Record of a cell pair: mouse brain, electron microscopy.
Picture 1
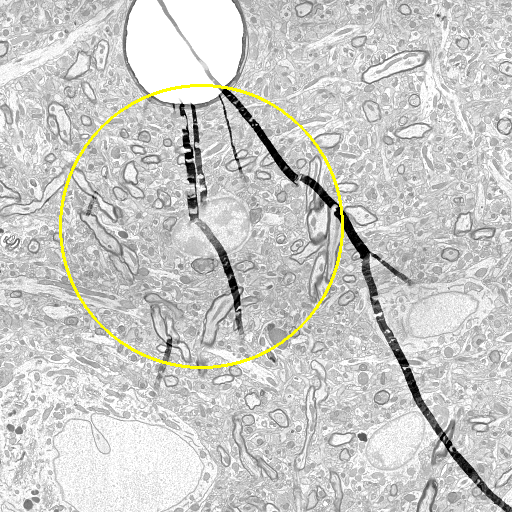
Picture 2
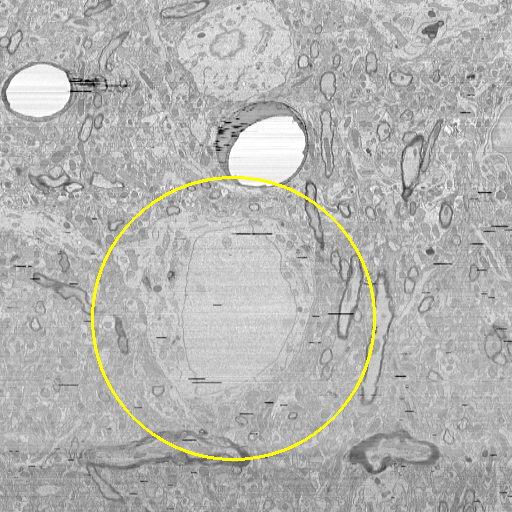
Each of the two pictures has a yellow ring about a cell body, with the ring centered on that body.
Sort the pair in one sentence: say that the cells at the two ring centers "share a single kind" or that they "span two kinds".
The cells centered in the rings of Pictures 1 and 2 span two kinds.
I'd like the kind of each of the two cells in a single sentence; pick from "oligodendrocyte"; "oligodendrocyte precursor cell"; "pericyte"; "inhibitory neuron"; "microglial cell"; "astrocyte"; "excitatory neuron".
The first ring marks an oligodendrocyte, and the second ring marks an excitatory neuron.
